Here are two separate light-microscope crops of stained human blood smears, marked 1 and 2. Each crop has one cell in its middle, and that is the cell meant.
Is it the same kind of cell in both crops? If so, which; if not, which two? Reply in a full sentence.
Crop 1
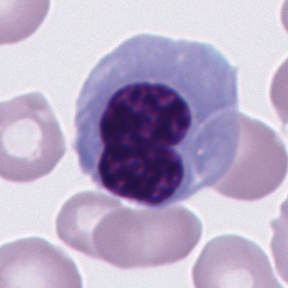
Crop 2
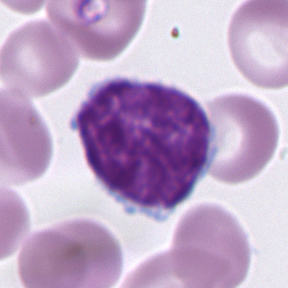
No, crop 2 holds a typical lymphocyte, while crop 1 holds a normoblast.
